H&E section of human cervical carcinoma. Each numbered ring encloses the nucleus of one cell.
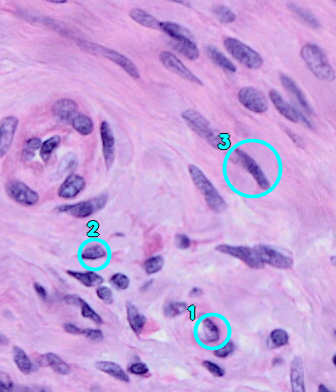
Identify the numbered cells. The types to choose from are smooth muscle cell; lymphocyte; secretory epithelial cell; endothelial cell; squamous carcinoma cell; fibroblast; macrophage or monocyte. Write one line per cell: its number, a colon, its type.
1: endothelial cell
2: fibroblast
3: fibroblast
